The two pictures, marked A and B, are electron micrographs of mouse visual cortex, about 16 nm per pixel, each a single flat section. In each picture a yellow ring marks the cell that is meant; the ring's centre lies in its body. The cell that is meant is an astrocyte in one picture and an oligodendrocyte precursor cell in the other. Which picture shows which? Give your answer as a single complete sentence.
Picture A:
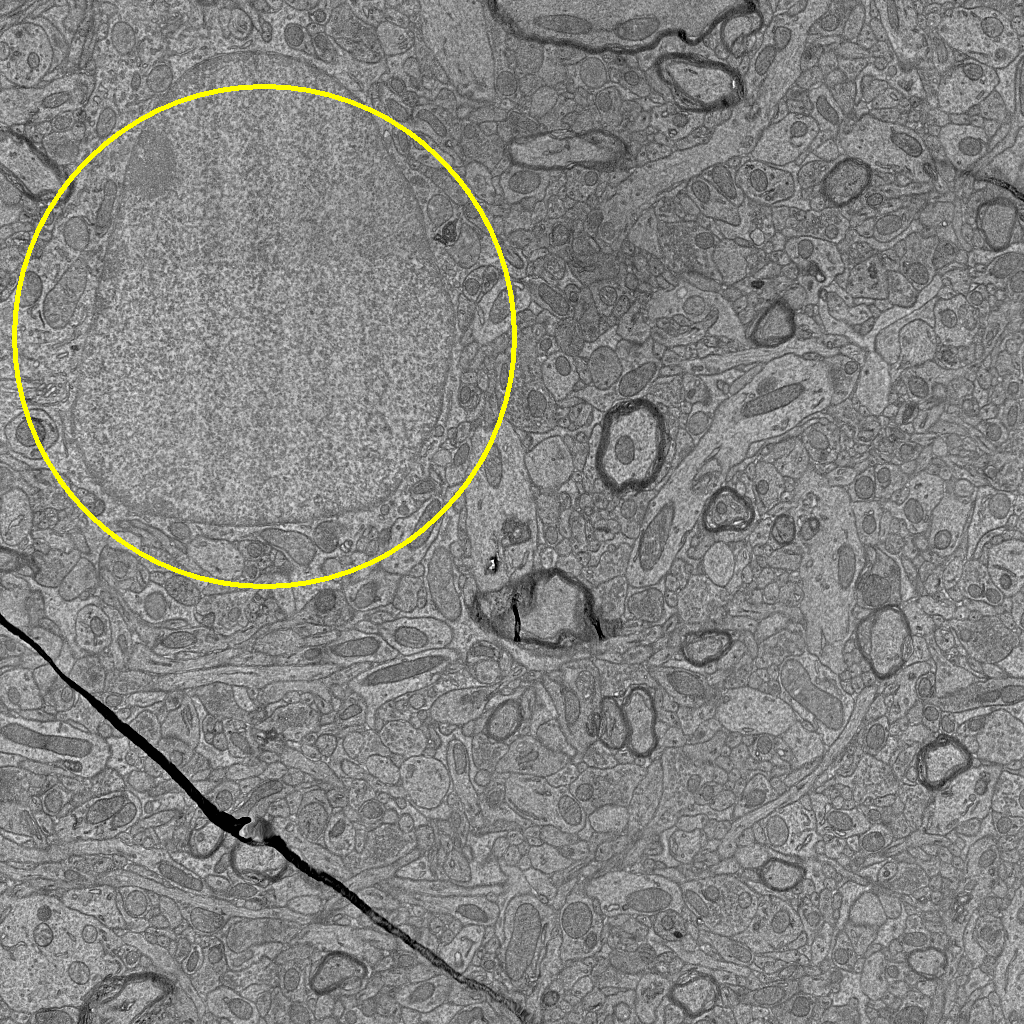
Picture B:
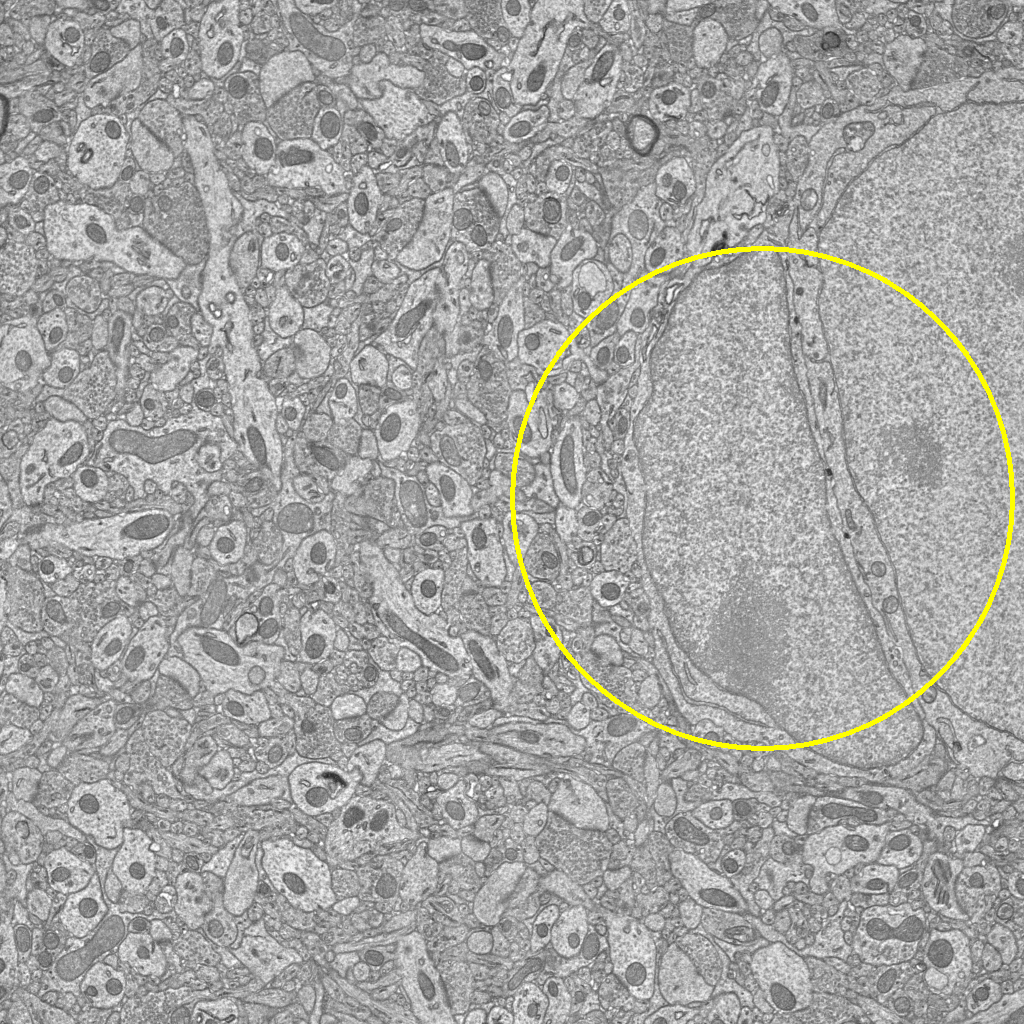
Picture B shows an oligodendrocyte precursor cell, while picture A shows an astrocyte.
